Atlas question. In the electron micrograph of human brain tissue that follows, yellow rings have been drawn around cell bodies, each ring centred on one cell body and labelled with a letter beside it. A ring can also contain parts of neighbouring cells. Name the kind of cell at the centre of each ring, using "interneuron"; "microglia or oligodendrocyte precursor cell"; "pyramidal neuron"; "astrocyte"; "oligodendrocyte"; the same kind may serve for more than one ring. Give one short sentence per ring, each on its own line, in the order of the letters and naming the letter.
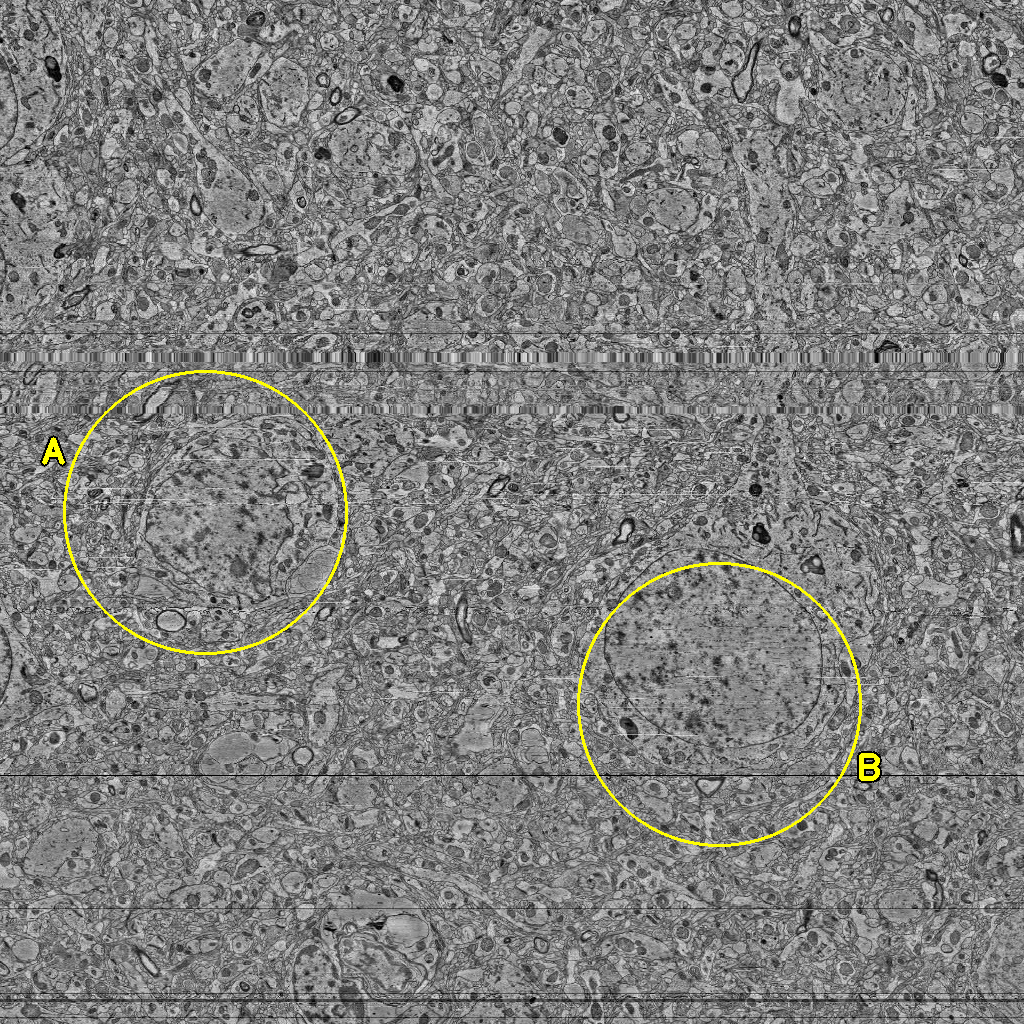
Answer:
For ring A, the cell at the centre is an interneuron.
For ring B, the cell at the centre is a pyramidal neuron.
